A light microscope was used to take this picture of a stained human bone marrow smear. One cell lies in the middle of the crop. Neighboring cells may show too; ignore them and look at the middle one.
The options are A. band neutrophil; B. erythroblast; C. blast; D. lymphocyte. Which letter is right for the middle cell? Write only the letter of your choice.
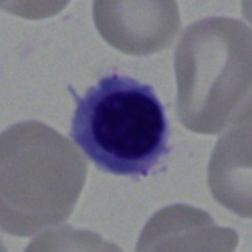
B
